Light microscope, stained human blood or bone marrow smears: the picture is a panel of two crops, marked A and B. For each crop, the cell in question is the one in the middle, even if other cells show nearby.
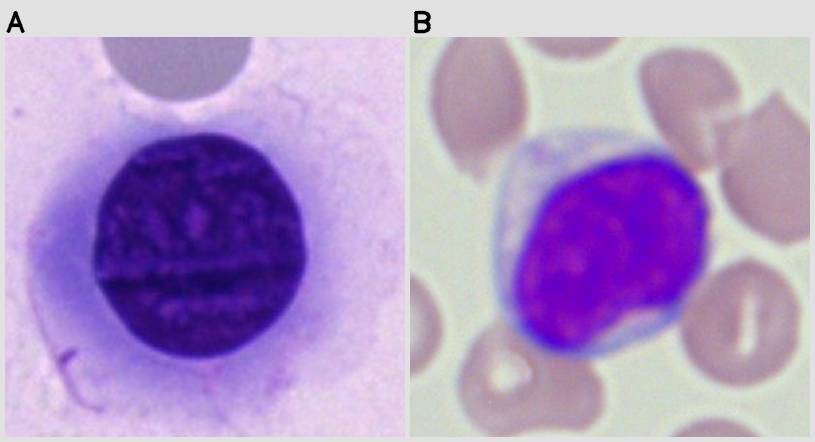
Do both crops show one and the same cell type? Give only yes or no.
no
